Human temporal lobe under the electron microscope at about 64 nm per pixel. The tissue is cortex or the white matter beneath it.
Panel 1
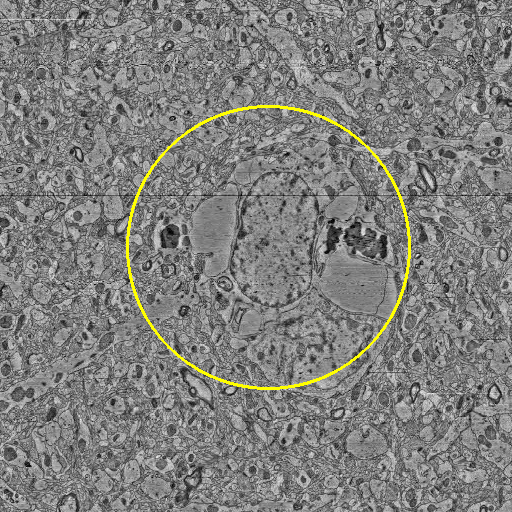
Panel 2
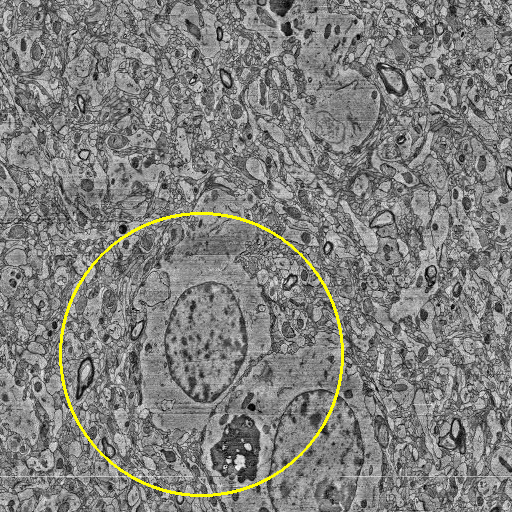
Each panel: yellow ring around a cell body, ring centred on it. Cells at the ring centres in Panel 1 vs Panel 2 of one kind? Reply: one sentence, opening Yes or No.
Yes, Panel 1 and Panel 2 have cells of one kind at the ring centres.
